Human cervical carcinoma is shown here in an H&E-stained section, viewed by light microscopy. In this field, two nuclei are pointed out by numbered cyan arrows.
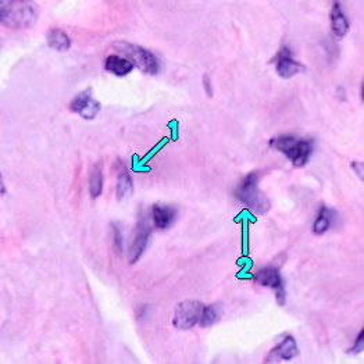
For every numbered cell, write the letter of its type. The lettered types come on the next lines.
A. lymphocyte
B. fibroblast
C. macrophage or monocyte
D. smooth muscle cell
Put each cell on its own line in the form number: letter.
1: D
2: B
